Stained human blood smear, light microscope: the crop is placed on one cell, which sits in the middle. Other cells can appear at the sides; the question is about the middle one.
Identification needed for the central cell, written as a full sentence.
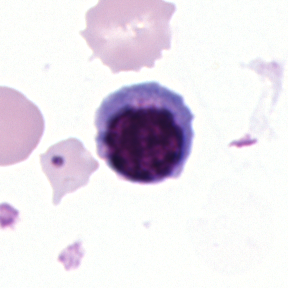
By type, the central cell of the crop is a normoblast.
